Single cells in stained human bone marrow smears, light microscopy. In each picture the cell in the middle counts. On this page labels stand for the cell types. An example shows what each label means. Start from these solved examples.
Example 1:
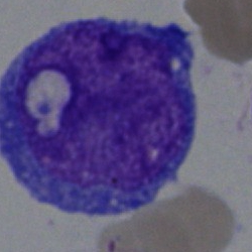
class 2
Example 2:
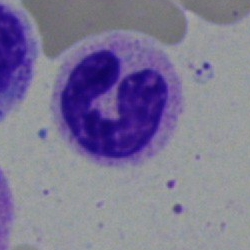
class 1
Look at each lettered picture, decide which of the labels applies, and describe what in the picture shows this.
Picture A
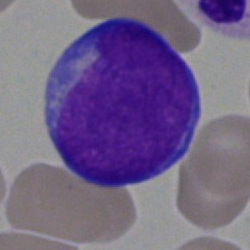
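class 2. The cytoplasm forms only a thin rim around the nucleus.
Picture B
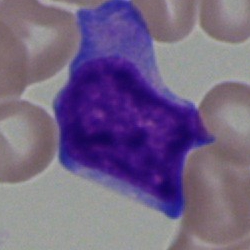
class 2. The nucleus fills most of the cell.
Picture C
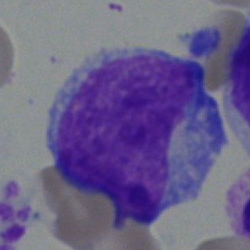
class 2. The chromatin is finely granular rather than gathered into coarse dark clumps.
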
